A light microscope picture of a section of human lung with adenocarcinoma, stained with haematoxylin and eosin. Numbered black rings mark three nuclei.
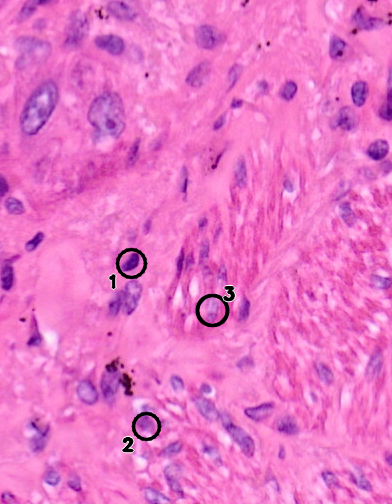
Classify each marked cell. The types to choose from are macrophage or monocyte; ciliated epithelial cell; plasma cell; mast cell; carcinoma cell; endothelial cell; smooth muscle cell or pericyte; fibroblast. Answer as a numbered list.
1. mast cell
2. smooth muscle cell or pericyte
3. smooth muscle cell or pericyte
